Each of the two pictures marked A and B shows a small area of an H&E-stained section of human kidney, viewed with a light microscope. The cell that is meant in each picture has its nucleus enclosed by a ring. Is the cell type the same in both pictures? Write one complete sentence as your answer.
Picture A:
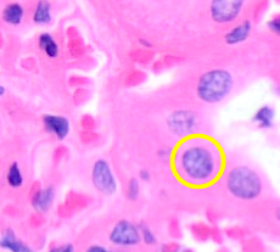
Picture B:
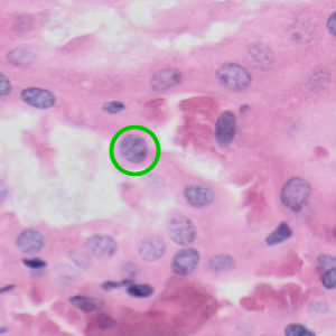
Yes; the cells in both pictures are “loop of Henle or distal tubule cells”.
